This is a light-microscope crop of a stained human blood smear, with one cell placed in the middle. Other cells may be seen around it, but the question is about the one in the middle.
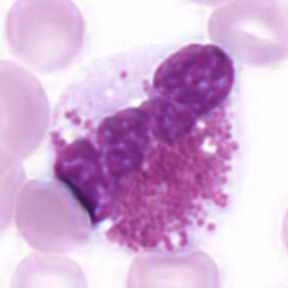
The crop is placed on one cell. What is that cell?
eosinophil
